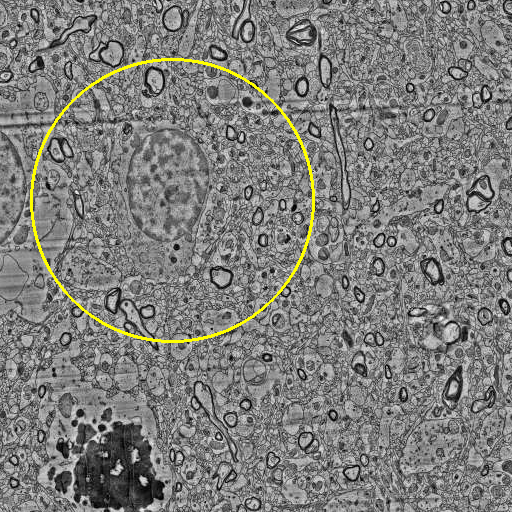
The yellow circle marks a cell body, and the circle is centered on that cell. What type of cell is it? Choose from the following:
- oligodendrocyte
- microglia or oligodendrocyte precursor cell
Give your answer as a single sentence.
This cell body belongs to an oligodendrocyte.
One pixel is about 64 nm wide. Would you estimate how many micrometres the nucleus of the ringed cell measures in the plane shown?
The ringed cell's nucleus is about 7 micrometres long and 5 micrometres wide in this plane.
